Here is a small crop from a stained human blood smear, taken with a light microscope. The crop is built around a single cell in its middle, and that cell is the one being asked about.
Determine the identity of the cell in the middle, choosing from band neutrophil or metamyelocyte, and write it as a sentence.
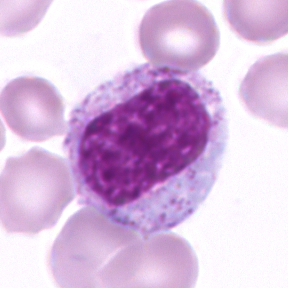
Of the cells in this crop, the central one is a metamyelocyte.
